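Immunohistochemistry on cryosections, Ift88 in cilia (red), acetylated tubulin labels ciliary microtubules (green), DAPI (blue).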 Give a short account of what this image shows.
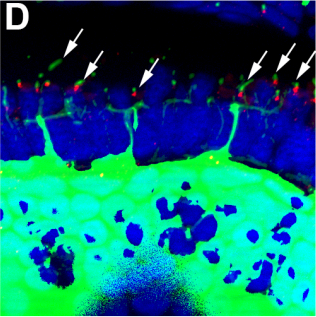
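Along the top of the section runs a row of blue nuclei, with green threads running vertically between them down towards a broad green region with scattered blue nuclei below. At the outer edge, short slender green strands project outward, many with small red dots at or near their bases.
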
